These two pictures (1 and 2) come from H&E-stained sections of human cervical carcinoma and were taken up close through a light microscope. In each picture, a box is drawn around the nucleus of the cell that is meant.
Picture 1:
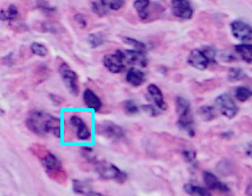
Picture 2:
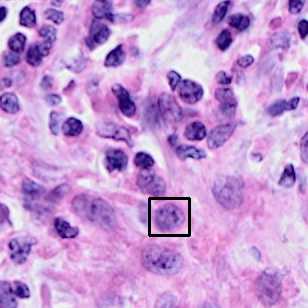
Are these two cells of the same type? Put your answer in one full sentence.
No; the cell in picture 1 is a lymphocyte, while the one in picture 2 is a “macrophage or monocyte”.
